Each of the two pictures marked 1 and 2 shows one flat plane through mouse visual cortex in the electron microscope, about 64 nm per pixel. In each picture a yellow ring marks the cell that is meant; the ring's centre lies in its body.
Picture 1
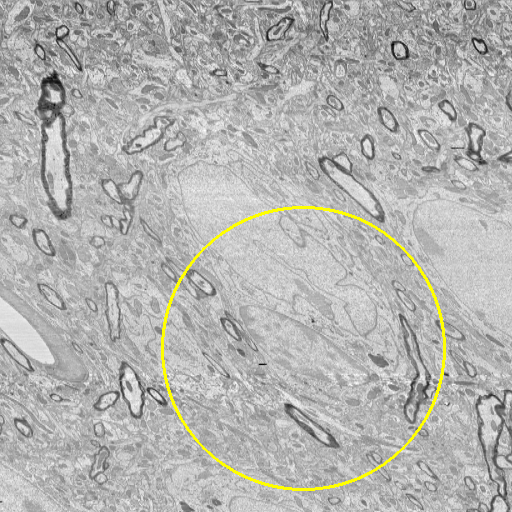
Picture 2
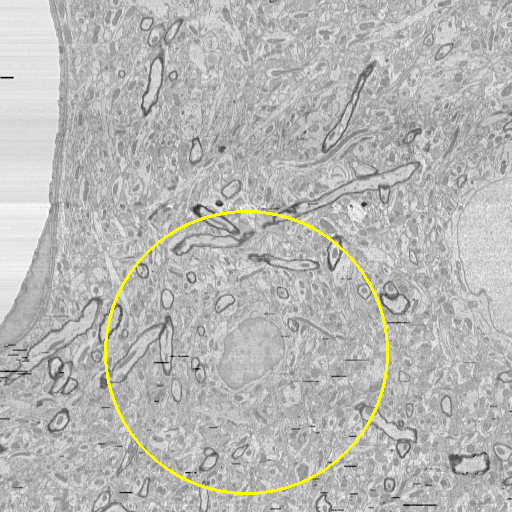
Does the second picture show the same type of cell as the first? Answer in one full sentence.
No, picture 1 shows an oligodendrocyte and picture 2 shows a microglial cell.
